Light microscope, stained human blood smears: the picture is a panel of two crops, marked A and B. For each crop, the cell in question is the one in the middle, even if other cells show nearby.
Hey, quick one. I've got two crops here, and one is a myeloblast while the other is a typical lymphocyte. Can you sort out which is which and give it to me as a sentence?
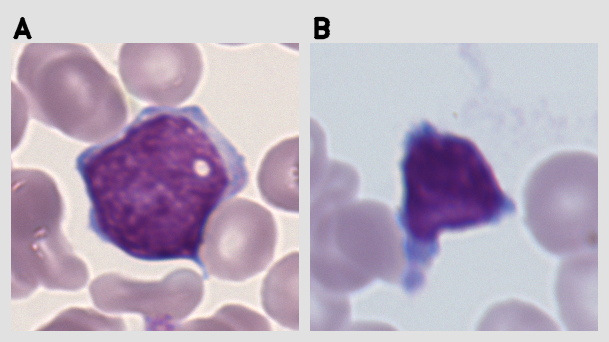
Okay, so crop A is a myeloblast and crop B is a typical lymphocyte.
